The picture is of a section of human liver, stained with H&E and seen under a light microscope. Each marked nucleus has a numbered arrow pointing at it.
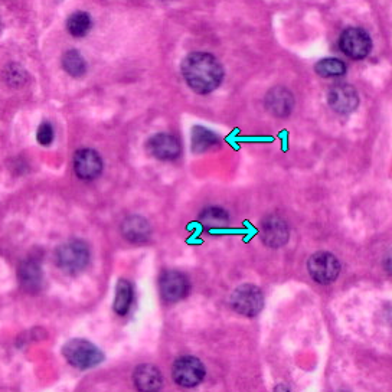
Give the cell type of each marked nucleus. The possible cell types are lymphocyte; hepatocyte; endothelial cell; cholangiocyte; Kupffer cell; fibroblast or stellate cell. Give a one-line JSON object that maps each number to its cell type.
{"1": "endothelial cell", "2": "hepatocyte"}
